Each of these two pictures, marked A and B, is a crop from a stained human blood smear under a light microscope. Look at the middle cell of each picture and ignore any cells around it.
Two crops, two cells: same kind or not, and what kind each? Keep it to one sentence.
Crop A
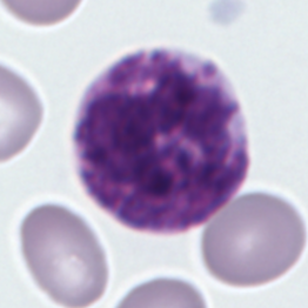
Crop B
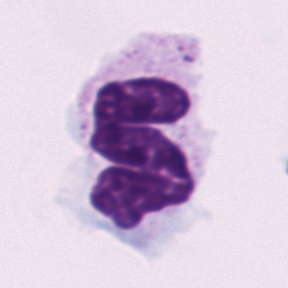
No, sorry, crop A shows a basophil and crop B shows a neutrophil.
